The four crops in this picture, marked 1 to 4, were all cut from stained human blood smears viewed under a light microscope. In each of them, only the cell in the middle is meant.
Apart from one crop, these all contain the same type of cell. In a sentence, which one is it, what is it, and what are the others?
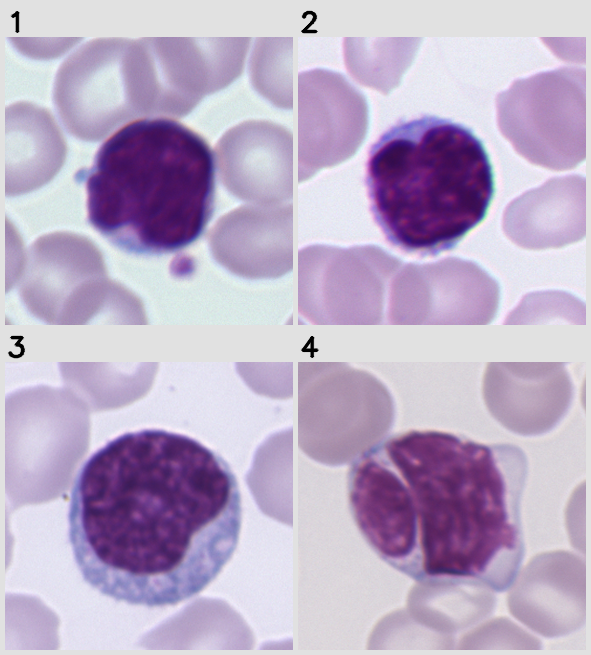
The different one is crop 4, which is a large granular lymphocyte; the rest all show typical lymphocytes.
